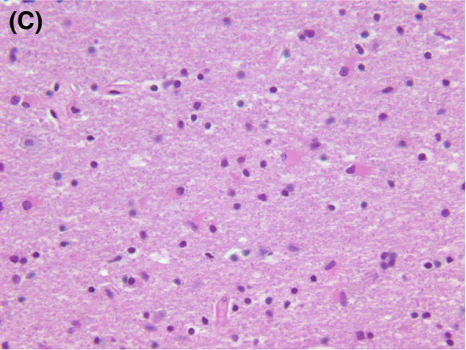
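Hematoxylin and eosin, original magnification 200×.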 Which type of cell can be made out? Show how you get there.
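Several cells have ample bright pink cytoplasm. These cells are scattered throughout the pale pink background. So: reactive astroglia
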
